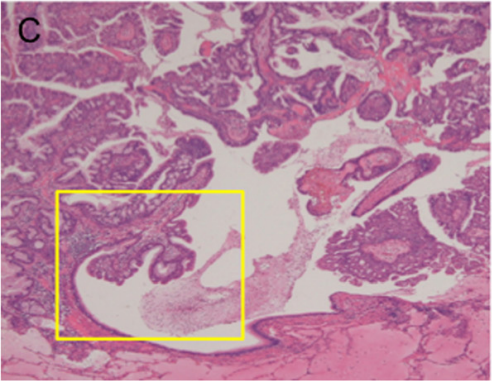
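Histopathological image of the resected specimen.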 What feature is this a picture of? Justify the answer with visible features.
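Papillomatous fronds. Many branching finger-like projections with thin cores.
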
